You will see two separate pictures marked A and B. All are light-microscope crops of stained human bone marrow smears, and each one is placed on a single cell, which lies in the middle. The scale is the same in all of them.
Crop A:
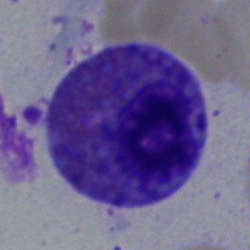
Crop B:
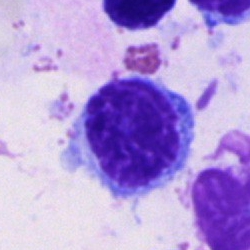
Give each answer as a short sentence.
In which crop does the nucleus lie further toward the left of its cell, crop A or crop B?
The nucleus in crop B lies further toward the left of its cell.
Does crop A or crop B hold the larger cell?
The cell in crop A is larger, with about 1.5 times the area of the one in crop B.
